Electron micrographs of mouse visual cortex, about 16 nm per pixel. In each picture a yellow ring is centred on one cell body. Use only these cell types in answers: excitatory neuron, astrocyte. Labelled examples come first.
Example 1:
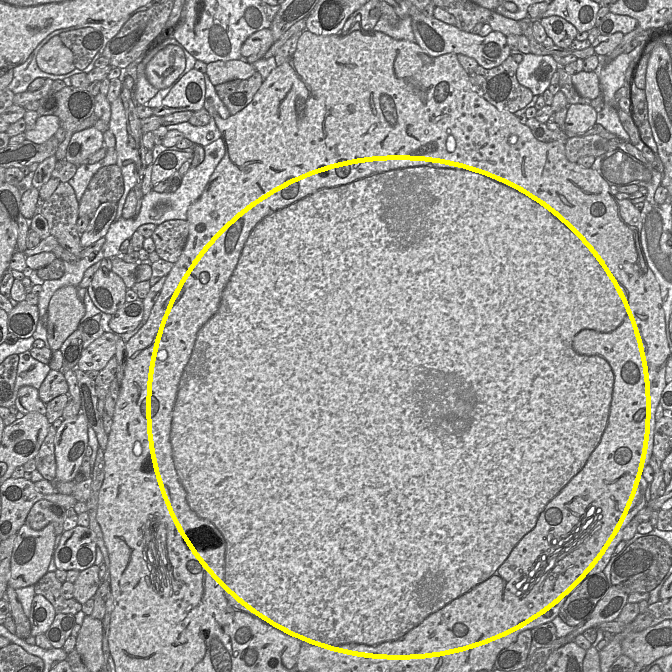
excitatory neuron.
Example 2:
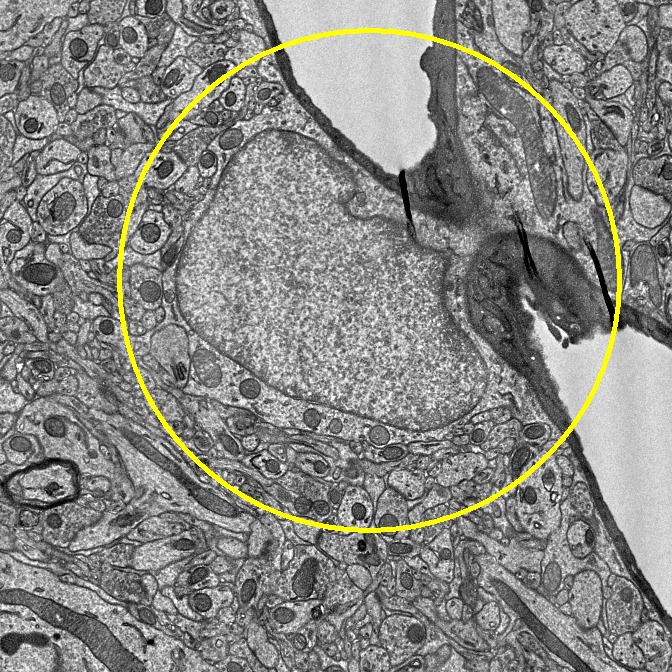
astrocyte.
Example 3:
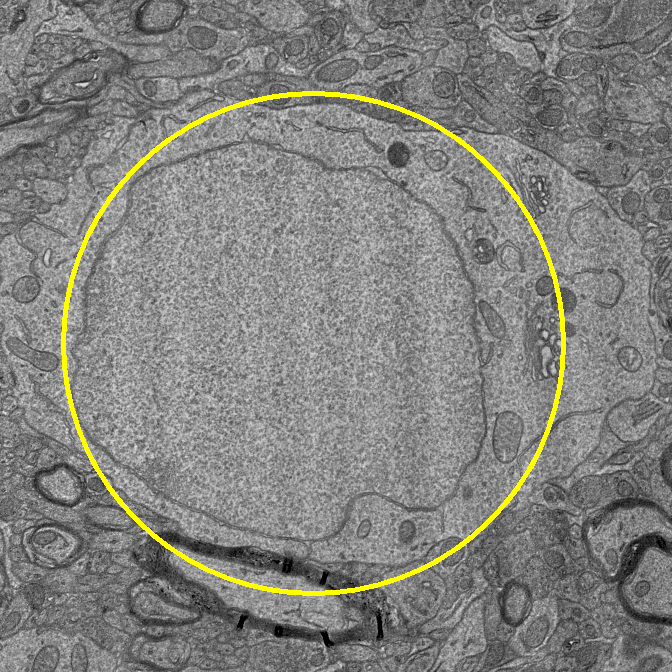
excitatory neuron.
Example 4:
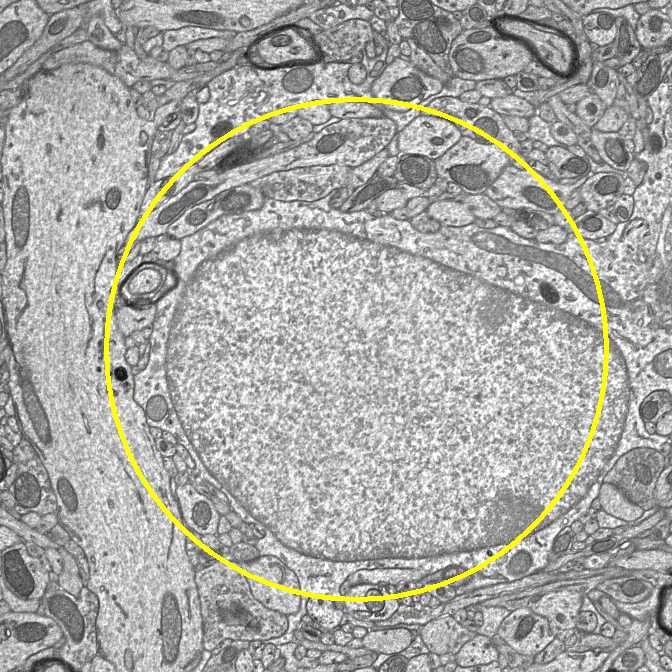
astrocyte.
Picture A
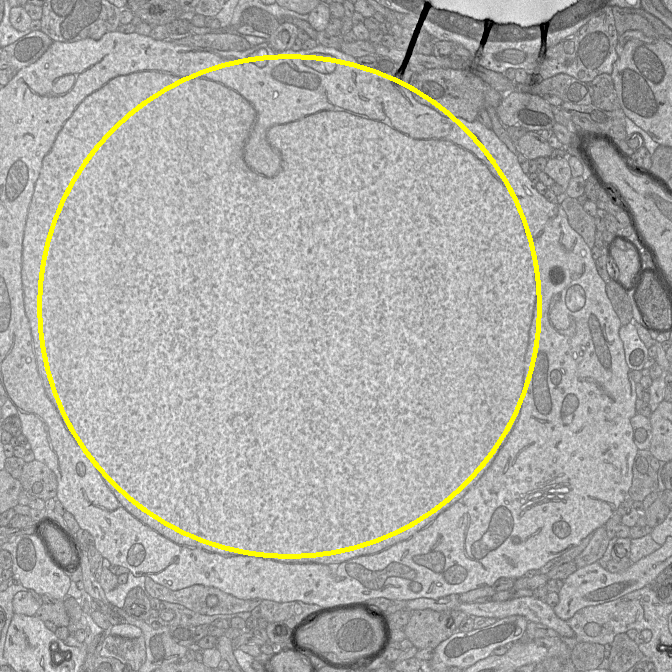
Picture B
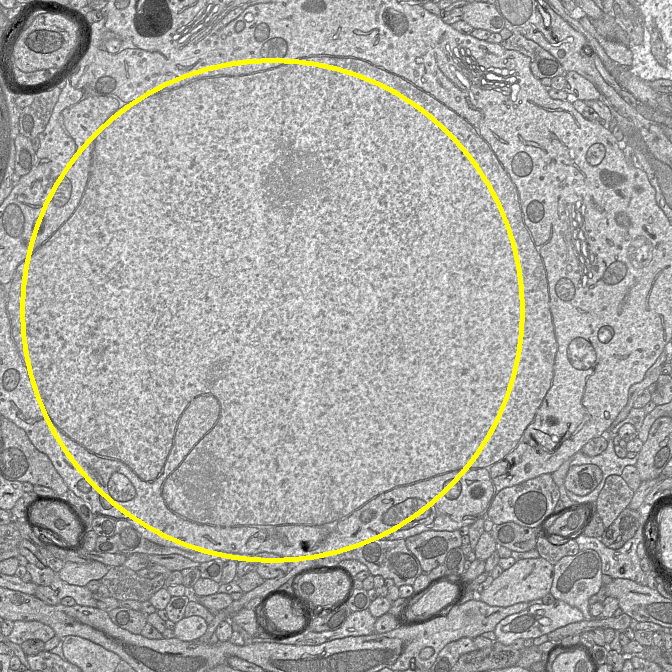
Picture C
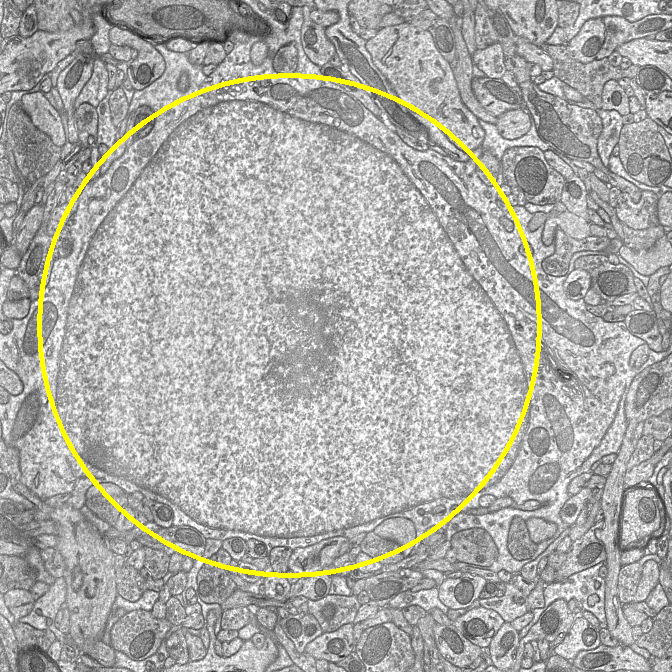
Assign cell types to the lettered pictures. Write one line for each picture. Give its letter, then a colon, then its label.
A: excitatory neuron.
B: excitatory neuron.
C: astrocyte.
